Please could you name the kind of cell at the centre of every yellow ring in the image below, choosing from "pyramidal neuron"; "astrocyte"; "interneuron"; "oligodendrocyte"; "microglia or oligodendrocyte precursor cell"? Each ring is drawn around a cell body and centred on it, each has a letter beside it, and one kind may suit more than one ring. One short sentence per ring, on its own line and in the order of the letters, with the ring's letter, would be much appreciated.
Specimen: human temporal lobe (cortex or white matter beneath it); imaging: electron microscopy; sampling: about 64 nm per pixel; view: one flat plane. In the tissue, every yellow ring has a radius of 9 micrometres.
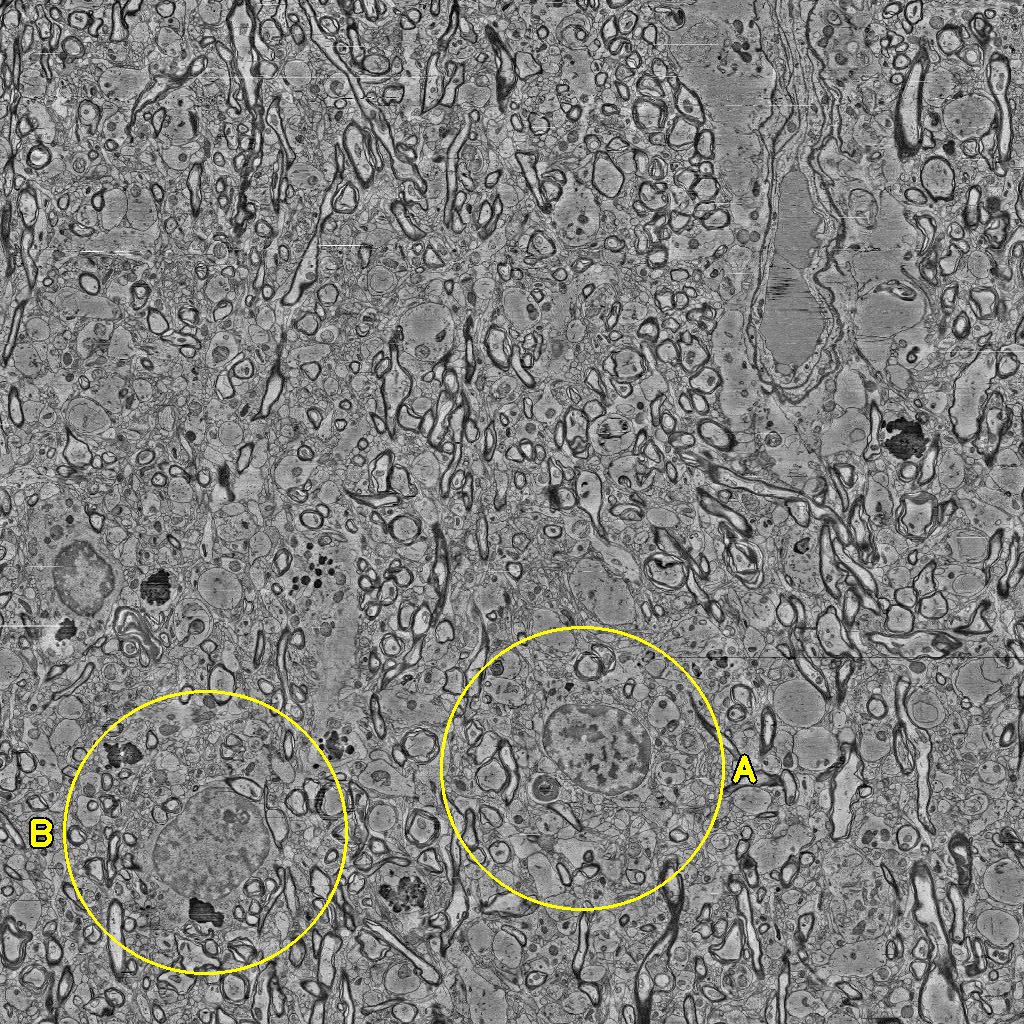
The cell in the middle of ring A is a microglial cell or oligodendrocyte precursor cell.
The cell in the middle of ring B is an oligodendrocyte.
